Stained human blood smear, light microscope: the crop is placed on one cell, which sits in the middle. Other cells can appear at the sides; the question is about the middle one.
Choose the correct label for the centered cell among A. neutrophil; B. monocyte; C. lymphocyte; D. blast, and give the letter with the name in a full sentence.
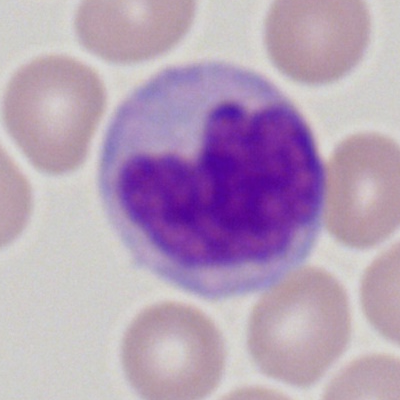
The correct response is option B, naming the cell in the middle as a monocyte.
